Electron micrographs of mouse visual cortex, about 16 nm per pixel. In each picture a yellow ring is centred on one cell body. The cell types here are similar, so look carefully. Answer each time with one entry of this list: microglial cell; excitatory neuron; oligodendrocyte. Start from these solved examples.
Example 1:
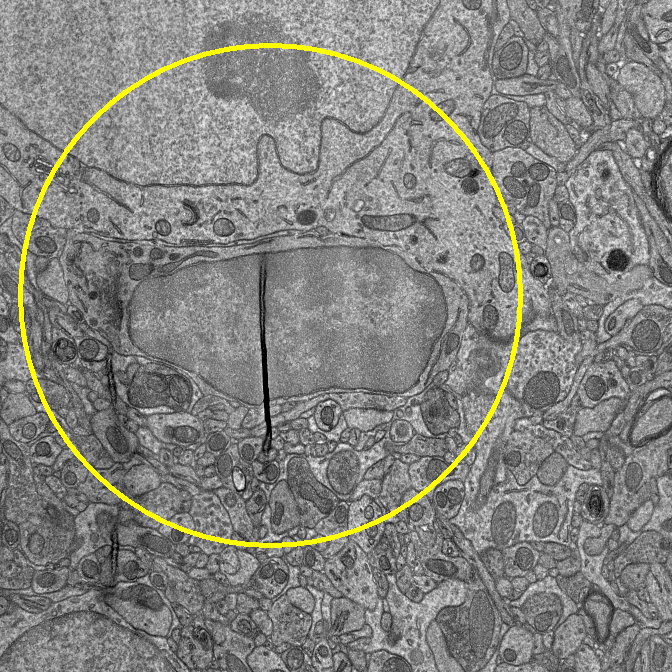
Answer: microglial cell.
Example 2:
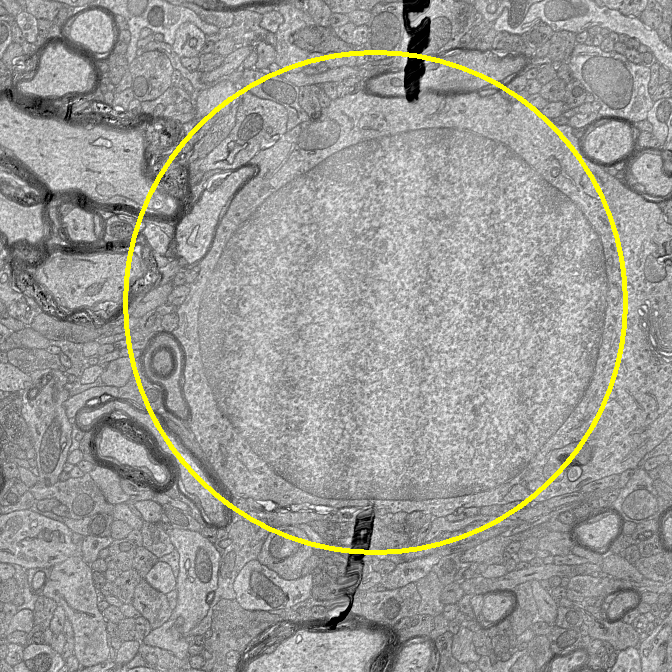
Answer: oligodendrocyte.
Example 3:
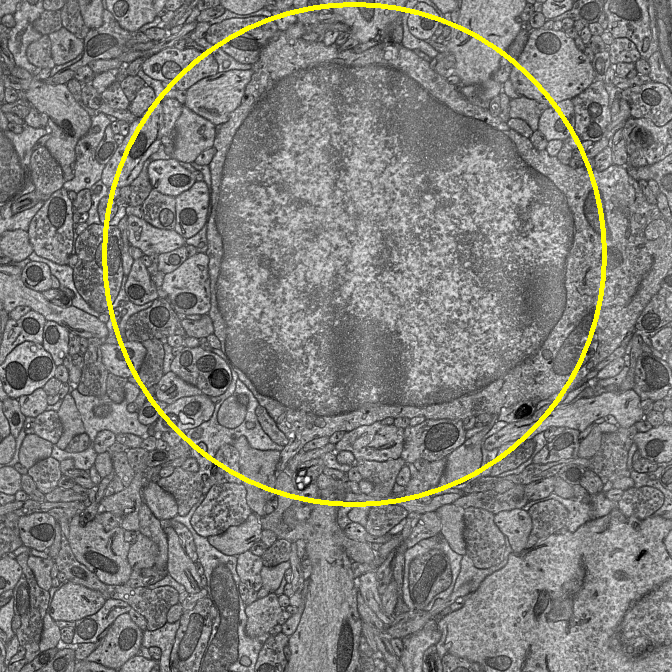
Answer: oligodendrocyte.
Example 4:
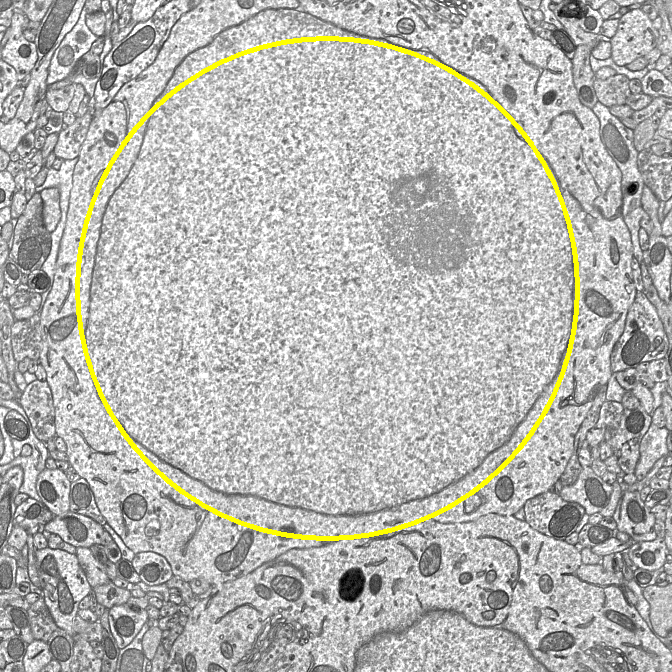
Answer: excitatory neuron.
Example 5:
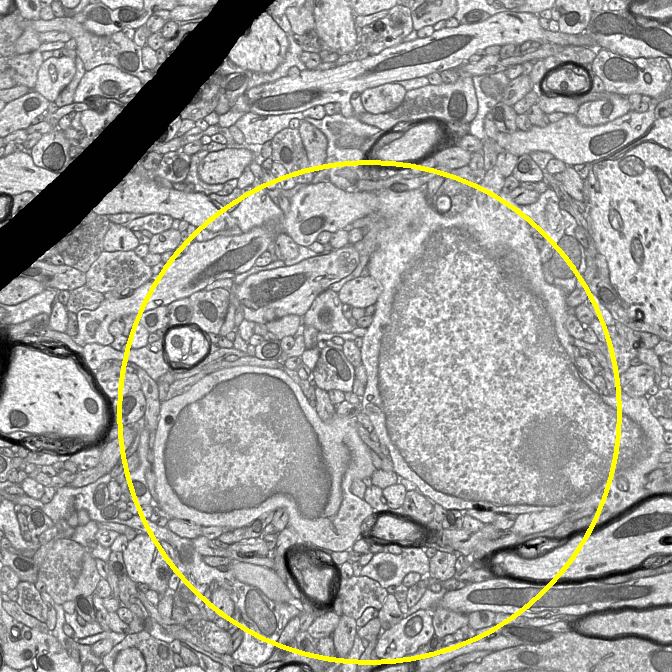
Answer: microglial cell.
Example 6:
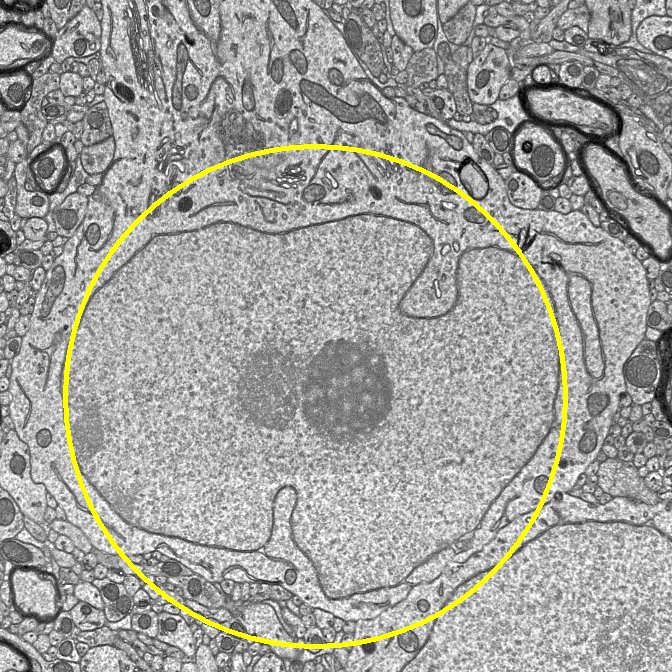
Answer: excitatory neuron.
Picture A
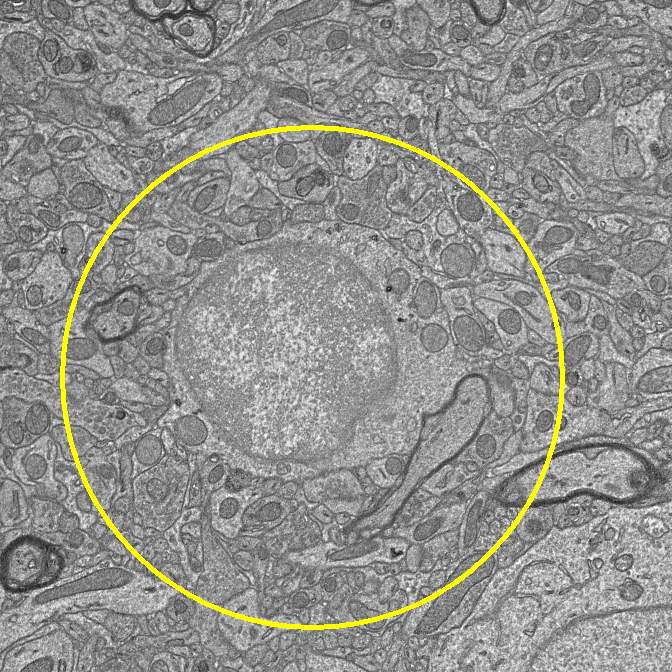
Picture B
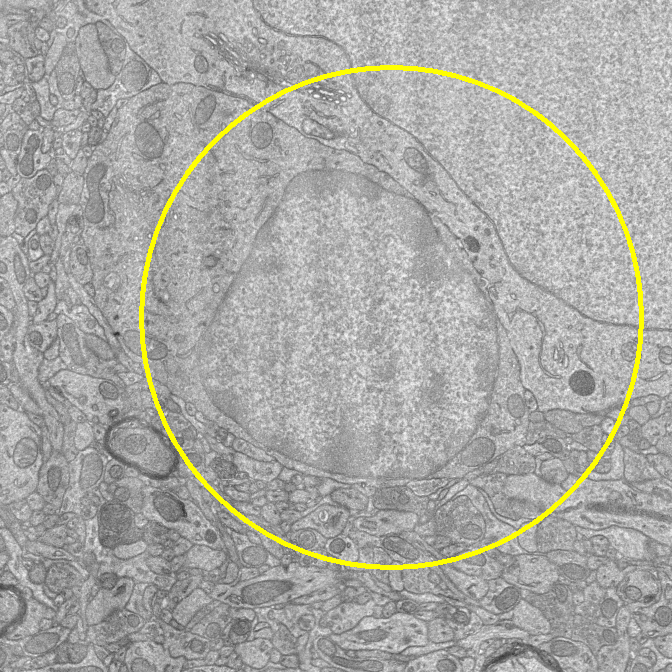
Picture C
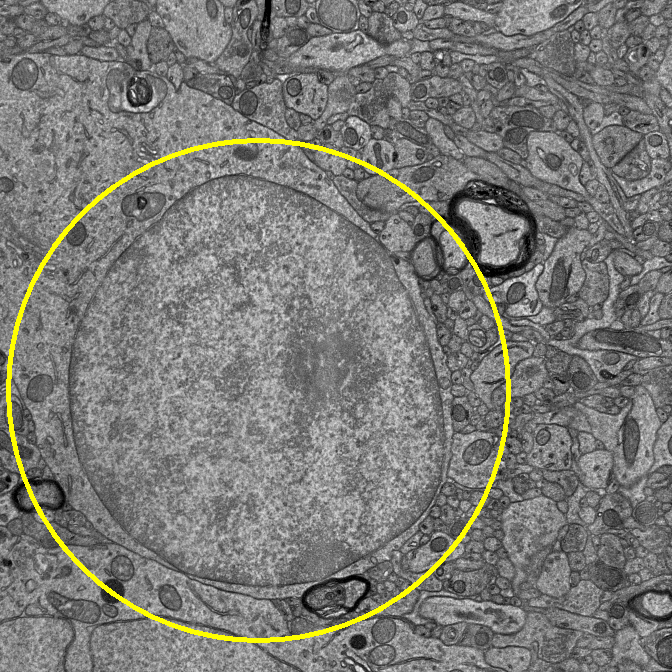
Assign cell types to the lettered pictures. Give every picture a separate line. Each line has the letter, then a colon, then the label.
A: oligodendrocyte.
B: oligodendrocyte.
C: oligodendrocyte.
